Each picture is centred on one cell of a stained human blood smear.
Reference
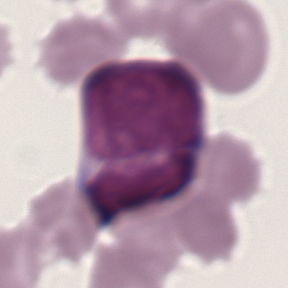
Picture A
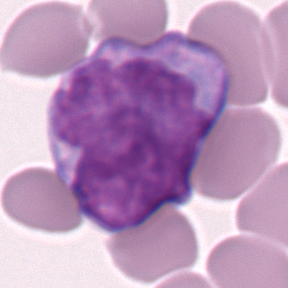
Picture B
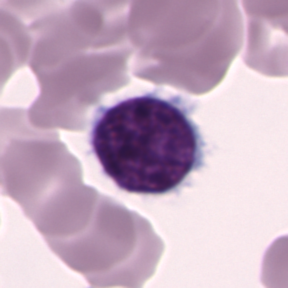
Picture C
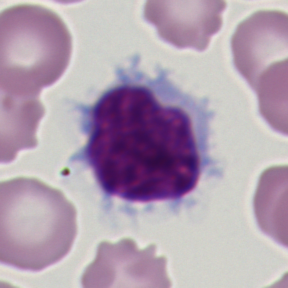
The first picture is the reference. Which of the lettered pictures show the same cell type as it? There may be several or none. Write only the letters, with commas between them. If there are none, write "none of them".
none of them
